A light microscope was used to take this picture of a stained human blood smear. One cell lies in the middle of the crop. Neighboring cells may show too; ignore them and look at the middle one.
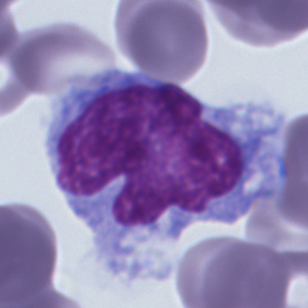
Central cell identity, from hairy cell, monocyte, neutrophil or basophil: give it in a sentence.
The cell in the middle of this crop is a monocyte.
